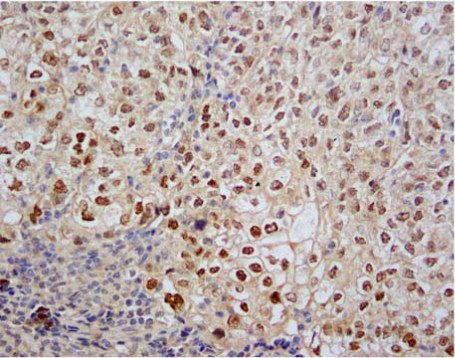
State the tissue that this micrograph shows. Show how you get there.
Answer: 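Sheets of polygonal tumour cells with pale to clear cytoplasm. Distinct cell borders. Enlarged, atypical nuclei.
Conclusion: clear cell carcinoma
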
